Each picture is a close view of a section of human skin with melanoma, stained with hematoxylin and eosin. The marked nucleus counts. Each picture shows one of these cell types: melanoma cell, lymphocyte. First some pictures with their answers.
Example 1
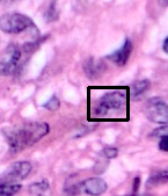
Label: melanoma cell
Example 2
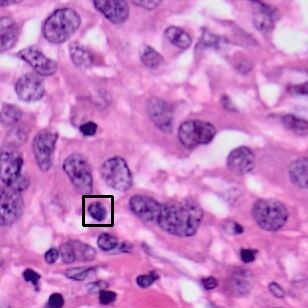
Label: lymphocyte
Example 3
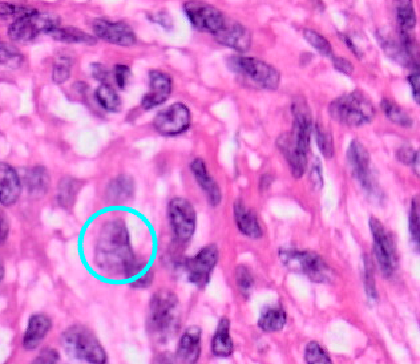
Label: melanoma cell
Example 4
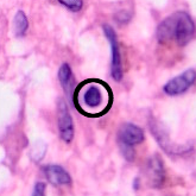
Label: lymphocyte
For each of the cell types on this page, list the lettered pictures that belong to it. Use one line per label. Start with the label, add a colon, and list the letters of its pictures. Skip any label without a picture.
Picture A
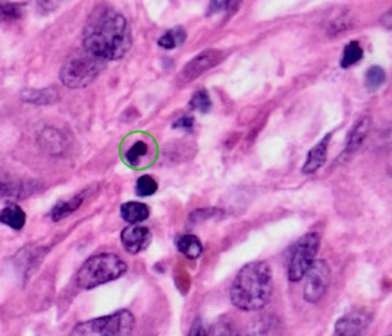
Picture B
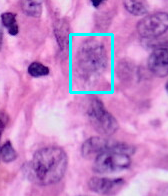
melanoma cell: B
lymphocyte: A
